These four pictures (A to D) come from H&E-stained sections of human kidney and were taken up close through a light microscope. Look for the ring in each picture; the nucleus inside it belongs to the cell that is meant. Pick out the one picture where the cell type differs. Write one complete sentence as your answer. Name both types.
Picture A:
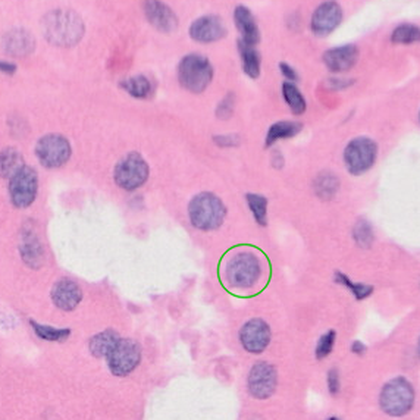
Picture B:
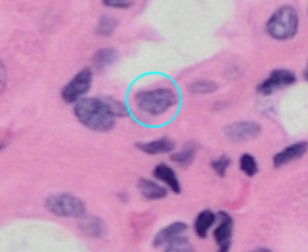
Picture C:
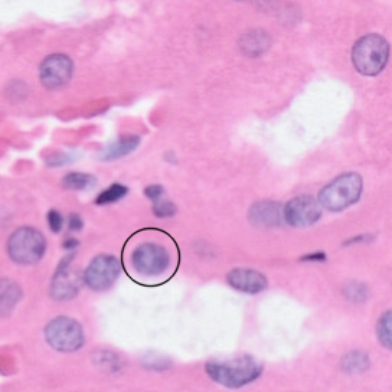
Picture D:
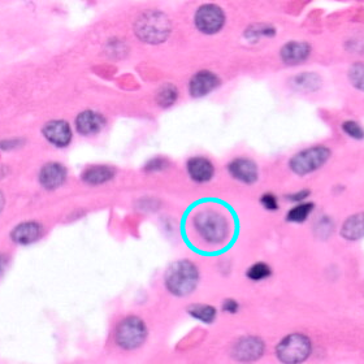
The others show “loop of Henle or distal tubule cells”, but picture B shows a collecting duct cell.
